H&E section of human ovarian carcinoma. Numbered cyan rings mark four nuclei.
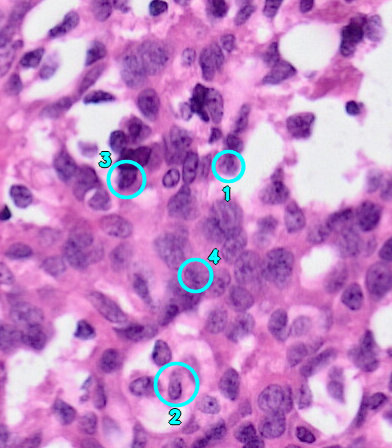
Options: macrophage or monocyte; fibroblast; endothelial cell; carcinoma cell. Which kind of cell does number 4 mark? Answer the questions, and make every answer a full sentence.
Cell 4 is classified as a carcinoma cell.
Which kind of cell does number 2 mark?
The cell marked with number 2 is a macrophage or monocyte.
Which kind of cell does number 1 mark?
Classified as a carcinoma cell is the cell with the number 1.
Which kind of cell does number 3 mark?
The cell pointed out by number 3 is a carcinoma cell.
